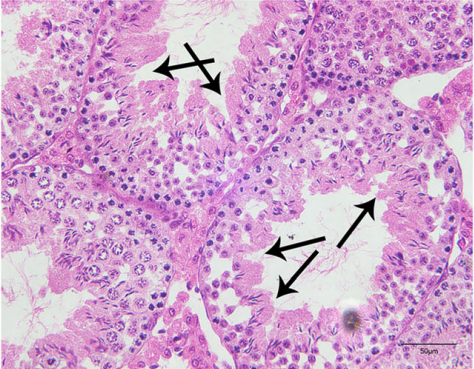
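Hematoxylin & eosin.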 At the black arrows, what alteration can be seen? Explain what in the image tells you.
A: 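Poorly attached loose arrangement of spermatogenetic cells. The arrows point at the inner part of the tubule epithelium near the lumen. Cells there are spaced apart with clear gaps between them. Clusters of cells appear detached and protrude into the lumen.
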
